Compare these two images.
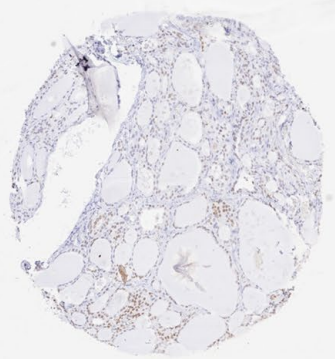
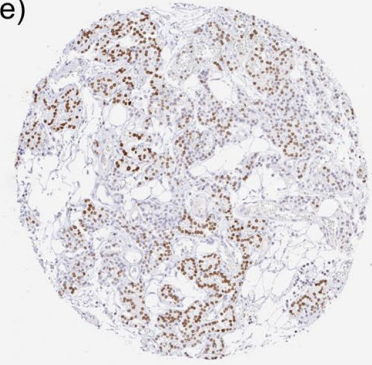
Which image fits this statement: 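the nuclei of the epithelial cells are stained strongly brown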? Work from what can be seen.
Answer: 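First image: most nuclei are blue, only some faintly brown. Second image: many epithelial nuclei are dark brown.
Conclusion: the second image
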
